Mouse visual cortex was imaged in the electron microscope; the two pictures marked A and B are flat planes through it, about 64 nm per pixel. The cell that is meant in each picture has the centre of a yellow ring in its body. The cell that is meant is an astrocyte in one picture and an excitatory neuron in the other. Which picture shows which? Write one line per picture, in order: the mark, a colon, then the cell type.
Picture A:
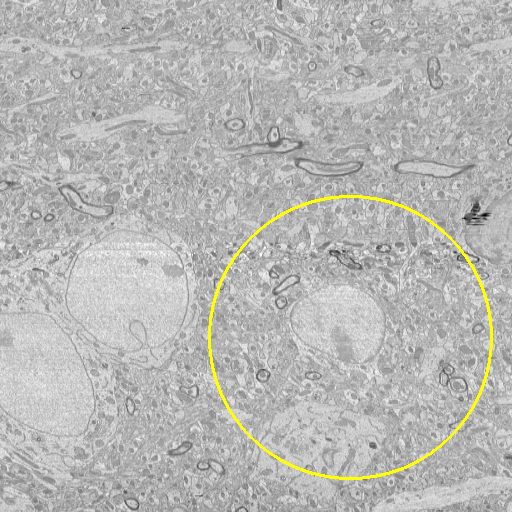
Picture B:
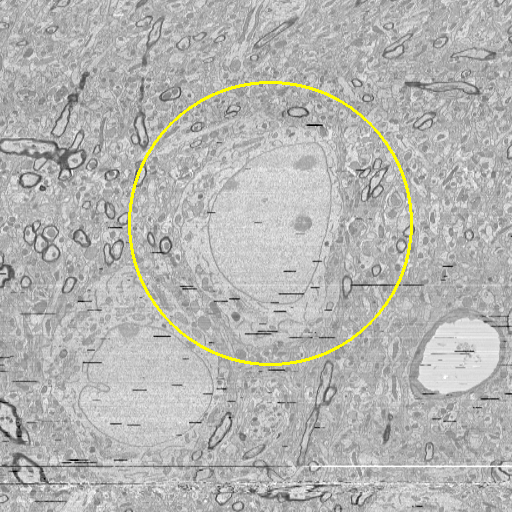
A: astrocyte
B: excitatory neuron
